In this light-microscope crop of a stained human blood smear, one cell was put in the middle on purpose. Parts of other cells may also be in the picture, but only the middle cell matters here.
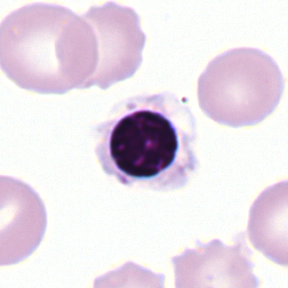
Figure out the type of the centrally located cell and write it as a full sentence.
Looking at the middle of the crop, the cell there is a normoblast.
